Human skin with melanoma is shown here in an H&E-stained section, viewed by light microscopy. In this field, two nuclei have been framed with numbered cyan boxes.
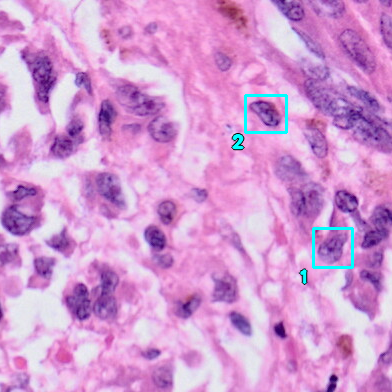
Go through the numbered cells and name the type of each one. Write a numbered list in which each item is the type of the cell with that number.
1. melanoma cell
2. macrophage or monocyte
